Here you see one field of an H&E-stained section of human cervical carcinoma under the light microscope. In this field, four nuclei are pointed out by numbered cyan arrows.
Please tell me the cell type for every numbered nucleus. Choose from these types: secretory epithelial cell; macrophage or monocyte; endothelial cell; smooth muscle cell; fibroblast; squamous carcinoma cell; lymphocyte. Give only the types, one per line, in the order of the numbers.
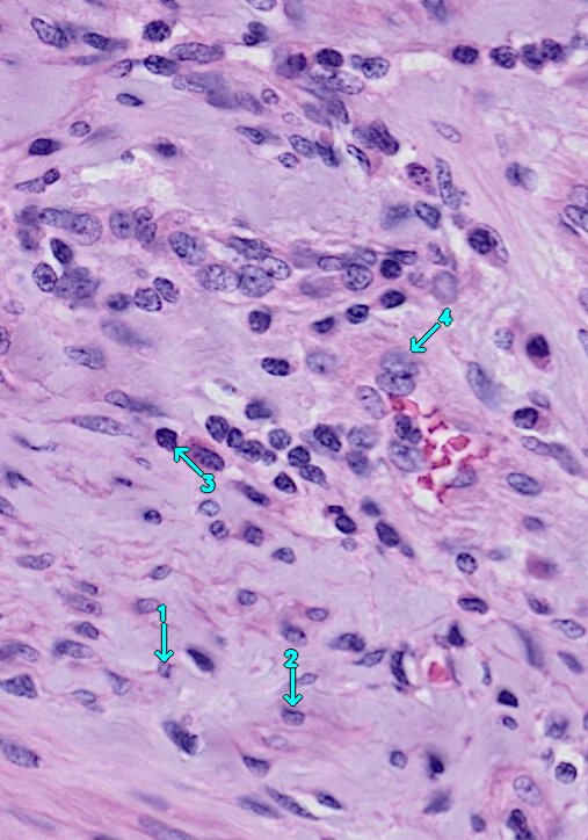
smooth muscle cell
smooth muscle cell
lymphocyte
endothelial cell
